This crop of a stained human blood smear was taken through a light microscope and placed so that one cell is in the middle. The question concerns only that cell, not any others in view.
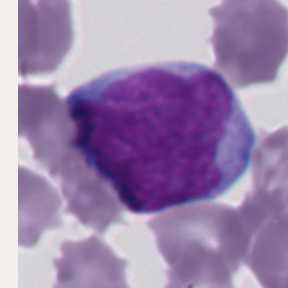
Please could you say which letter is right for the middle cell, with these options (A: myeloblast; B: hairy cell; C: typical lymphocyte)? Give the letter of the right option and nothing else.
A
